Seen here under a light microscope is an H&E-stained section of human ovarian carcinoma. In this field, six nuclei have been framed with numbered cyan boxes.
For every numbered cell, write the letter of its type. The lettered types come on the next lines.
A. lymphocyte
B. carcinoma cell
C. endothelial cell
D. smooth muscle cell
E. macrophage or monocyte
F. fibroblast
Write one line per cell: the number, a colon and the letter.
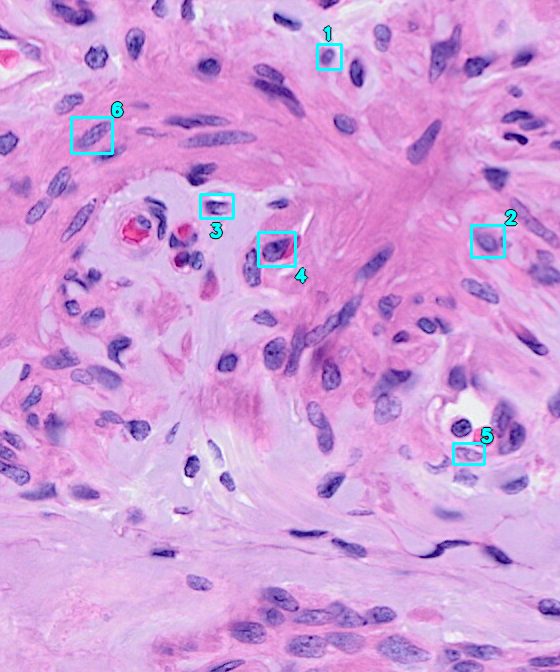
1: D
2: D
3: C
4: C
5: C
6: D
